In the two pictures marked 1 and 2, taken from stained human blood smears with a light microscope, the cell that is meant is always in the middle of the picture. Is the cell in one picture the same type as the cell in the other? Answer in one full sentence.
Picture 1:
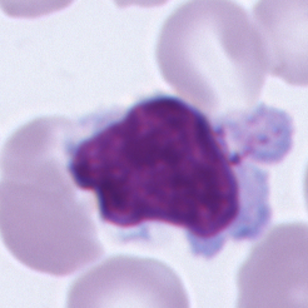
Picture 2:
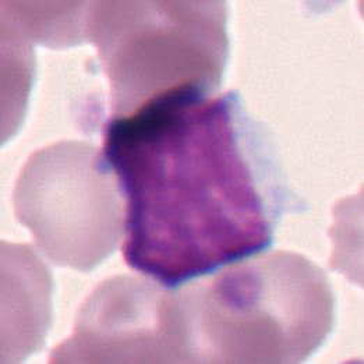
Yes, both cells are typical lymphocytes.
